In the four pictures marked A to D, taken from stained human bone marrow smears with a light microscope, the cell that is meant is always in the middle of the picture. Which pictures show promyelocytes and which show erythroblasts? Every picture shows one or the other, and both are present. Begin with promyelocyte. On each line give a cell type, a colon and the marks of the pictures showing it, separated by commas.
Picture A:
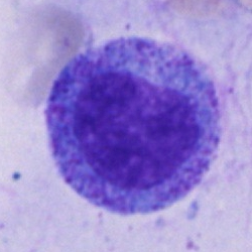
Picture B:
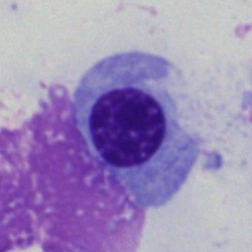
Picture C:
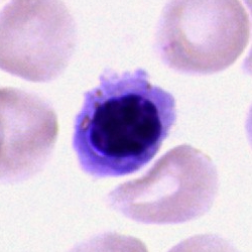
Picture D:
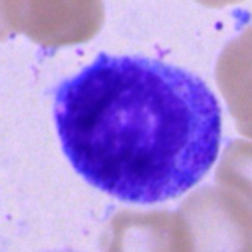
promyelocyte: A, D
erythroblast: B, C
